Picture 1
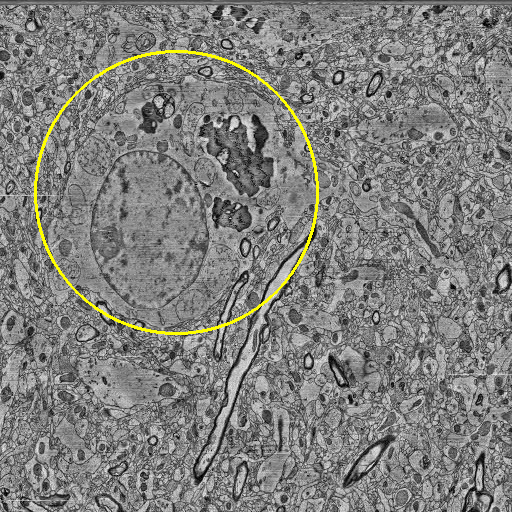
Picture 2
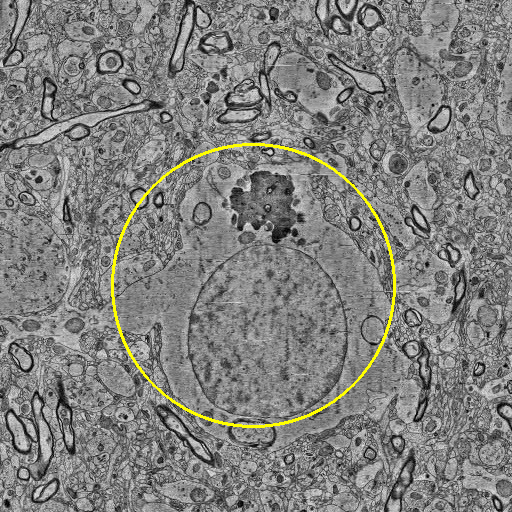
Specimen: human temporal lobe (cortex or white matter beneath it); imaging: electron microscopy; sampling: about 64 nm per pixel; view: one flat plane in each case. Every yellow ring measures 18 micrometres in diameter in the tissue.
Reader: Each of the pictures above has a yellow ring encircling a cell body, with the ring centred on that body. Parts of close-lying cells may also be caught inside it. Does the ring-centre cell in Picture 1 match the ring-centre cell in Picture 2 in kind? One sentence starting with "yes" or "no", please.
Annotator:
Yes, Picture 1 and Picture 2 show ring-centre cells of a single kind.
